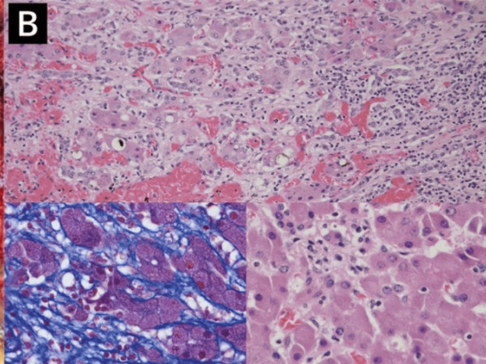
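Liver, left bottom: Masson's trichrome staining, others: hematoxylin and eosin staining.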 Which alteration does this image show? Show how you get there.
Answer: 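Lymphocyte infiltration. A dense band of small cells with dark round nuclei lies at the right of the upper image. The small dark cells crowd between larger pink polygonal cells.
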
